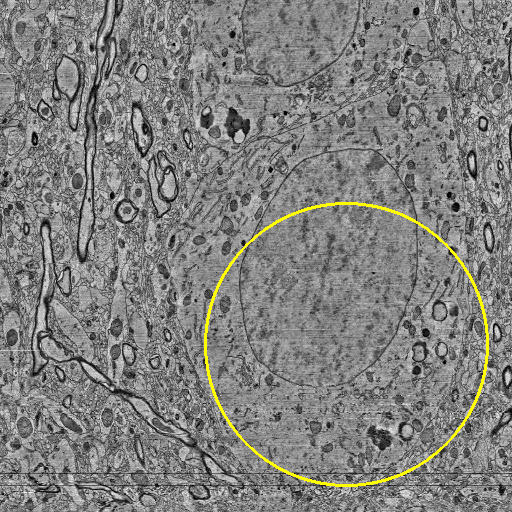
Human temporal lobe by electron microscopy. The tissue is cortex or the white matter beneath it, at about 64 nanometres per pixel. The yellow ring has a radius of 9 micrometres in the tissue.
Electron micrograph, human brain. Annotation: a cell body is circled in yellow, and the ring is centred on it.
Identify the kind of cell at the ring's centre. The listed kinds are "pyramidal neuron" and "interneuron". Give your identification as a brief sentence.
The circled cell body is that of a pyramidal neuron.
